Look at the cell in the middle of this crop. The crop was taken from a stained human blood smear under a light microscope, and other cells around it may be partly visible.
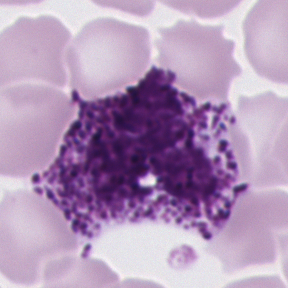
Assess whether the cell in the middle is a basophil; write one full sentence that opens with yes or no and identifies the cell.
Yes, the cell right in the middle is a basophil.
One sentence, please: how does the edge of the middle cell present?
The edge of the cell is broken up by ragged stretches or by outward projections.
